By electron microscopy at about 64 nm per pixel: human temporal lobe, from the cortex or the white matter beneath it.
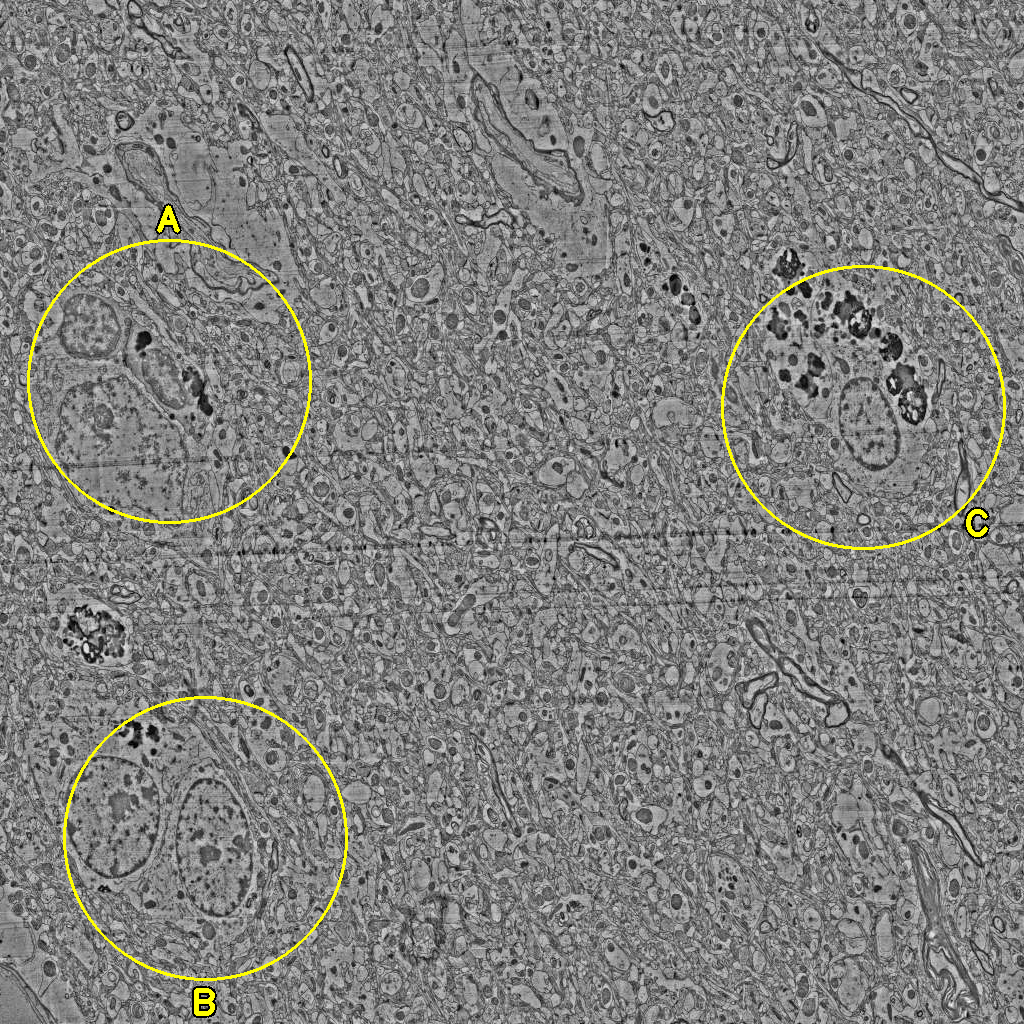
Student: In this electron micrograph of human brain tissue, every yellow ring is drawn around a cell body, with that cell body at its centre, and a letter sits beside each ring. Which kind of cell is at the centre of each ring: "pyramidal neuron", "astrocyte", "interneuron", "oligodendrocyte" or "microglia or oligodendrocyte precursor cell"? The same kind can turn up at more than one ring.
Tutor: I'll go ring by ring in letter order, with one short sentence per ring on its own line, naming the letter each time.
Ring A: the cell at its centre is an oligodendrocyte.
Ring B: the cell at its centre is an astrocyte.
Ring C: the cell at its centre is an astrocyte.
